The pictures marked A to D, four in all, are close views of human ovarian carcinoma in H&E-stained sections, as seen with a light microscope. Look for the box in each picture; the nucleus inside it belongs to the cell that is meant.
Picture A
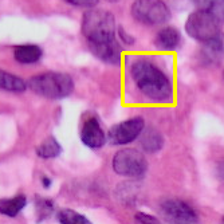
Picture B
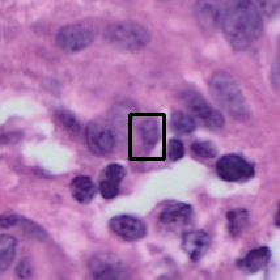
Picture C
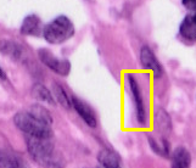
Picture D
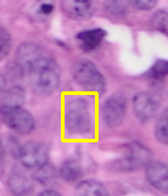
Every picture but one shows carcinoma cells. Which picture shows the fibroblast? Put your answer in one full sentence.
The picture with the fibroblast is C.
